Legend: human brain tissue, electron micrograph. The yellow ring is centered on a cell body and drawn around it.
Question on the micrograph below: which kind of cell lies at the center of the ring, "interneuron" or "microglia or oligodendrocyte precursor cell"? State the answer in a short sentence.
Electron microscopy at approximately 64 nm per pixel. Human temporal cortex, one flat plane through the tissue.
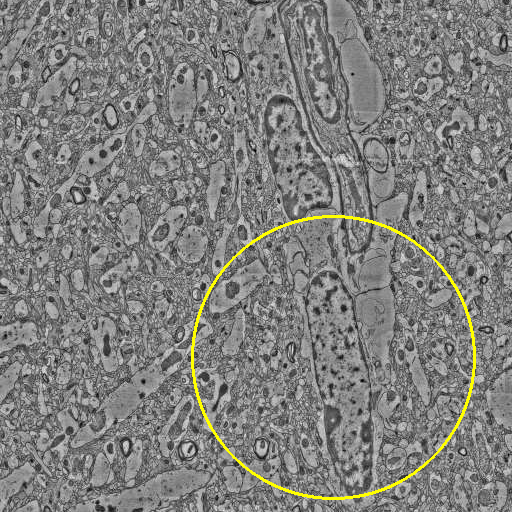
At the center of the ring lies a microglial cell or oligodendrocyte precursor cell.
